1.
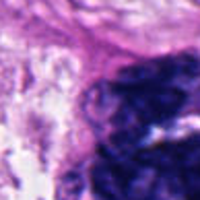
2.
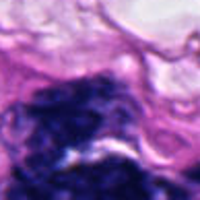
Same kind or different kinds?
Same: syncytial knots.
